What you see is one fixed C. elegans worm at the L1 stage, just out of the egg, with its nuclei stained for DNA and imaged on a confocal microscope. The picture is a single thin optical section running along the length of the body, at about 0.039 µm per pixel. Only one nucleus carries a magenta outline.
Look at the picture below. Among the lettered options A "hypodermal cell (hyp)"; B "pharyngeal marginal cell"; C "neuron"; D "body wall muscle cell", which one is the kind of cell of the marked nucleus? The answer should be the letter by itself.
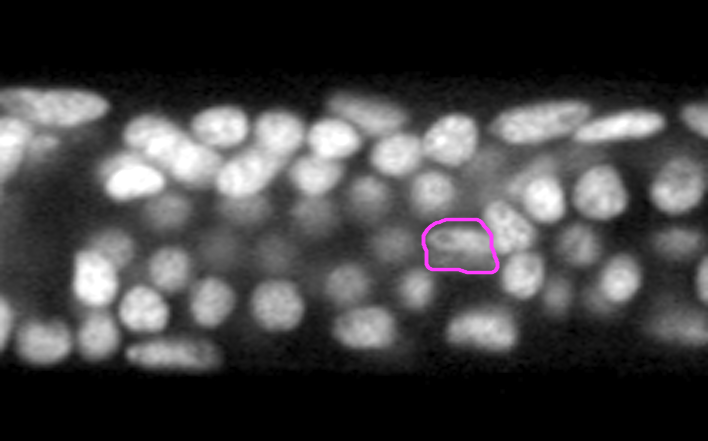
B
